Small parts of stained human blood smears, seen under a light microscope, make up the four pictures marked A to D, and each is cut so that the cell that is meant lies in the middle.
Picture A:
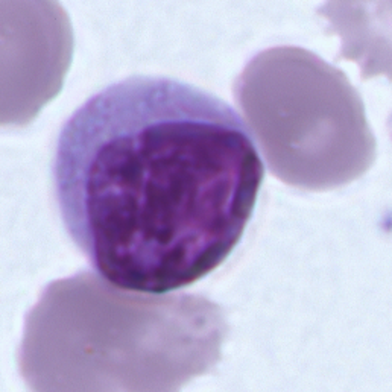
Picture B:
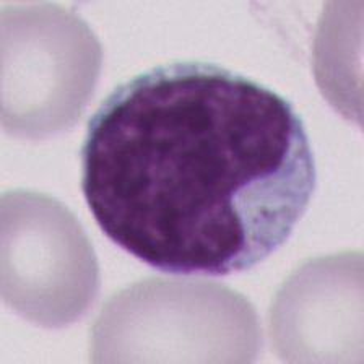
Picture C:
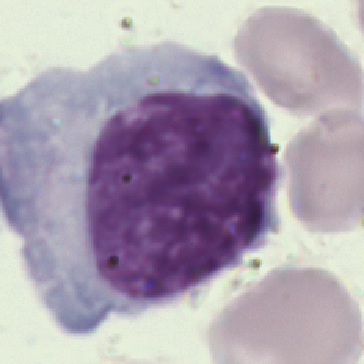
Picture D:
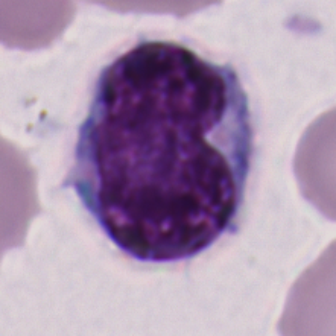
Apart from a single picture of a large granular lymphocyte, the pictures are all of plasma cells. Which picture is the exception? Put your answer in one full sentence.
The picture with the large granular lymphocyte is B.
